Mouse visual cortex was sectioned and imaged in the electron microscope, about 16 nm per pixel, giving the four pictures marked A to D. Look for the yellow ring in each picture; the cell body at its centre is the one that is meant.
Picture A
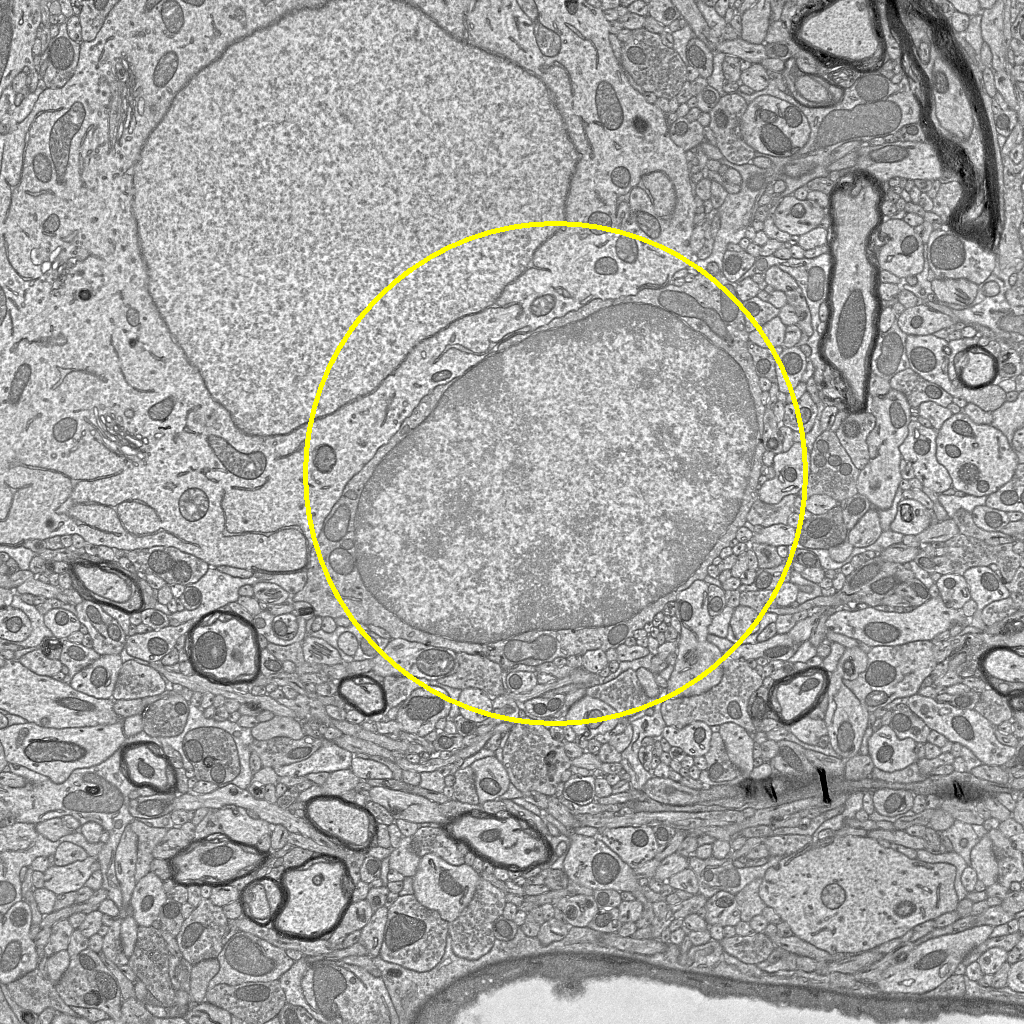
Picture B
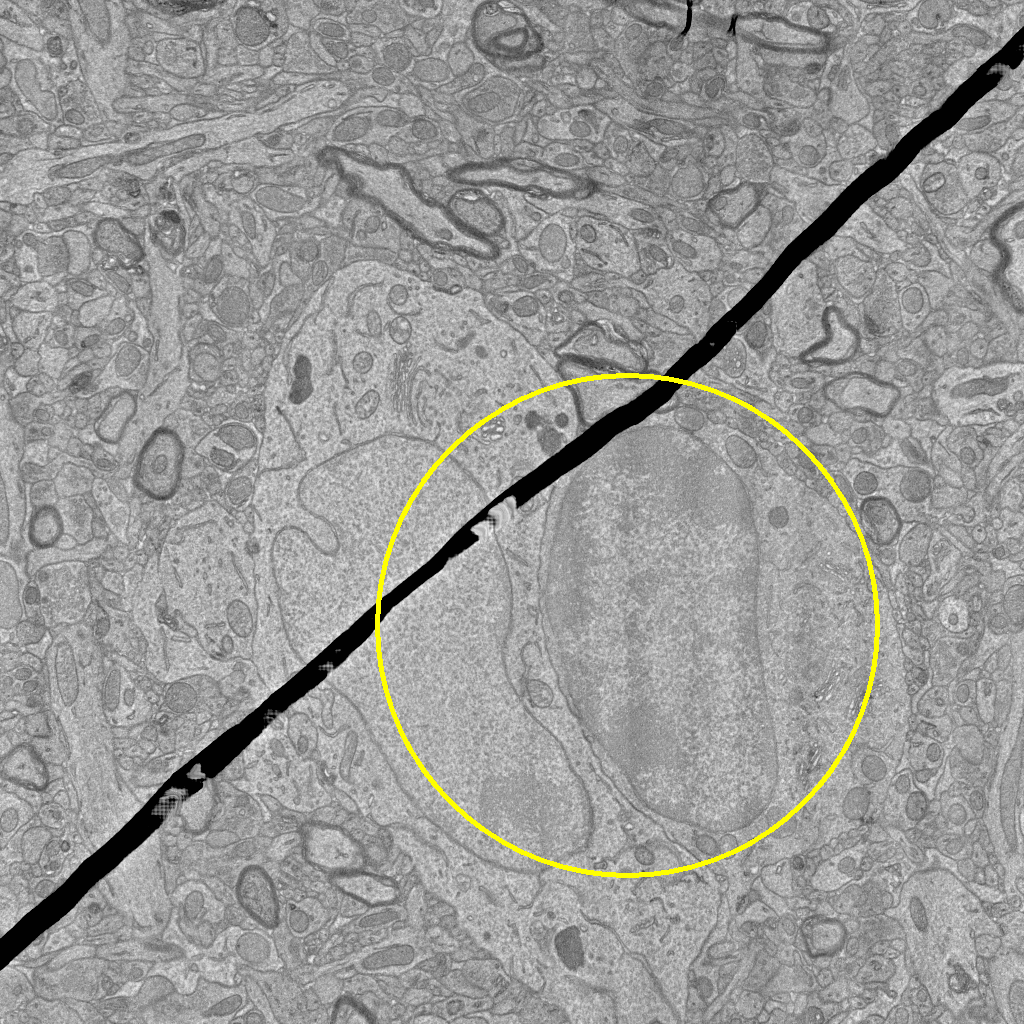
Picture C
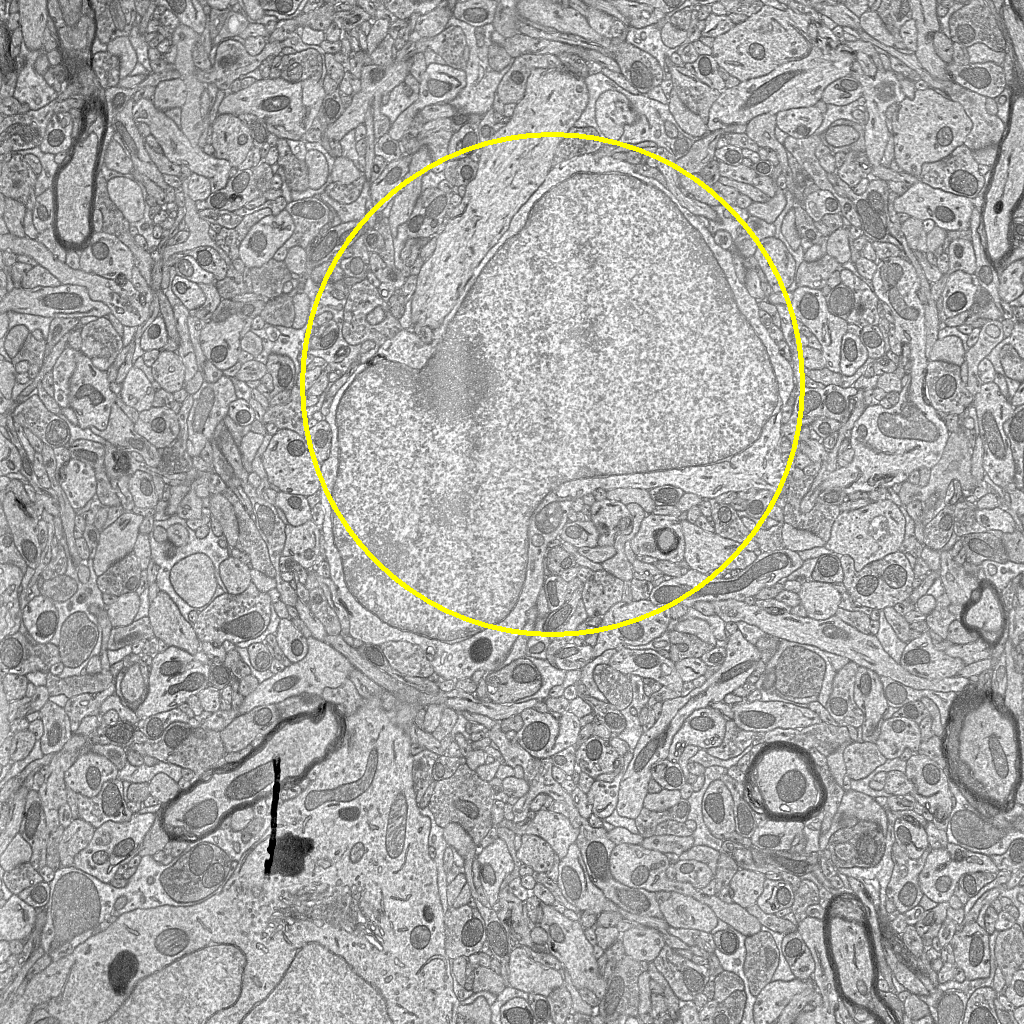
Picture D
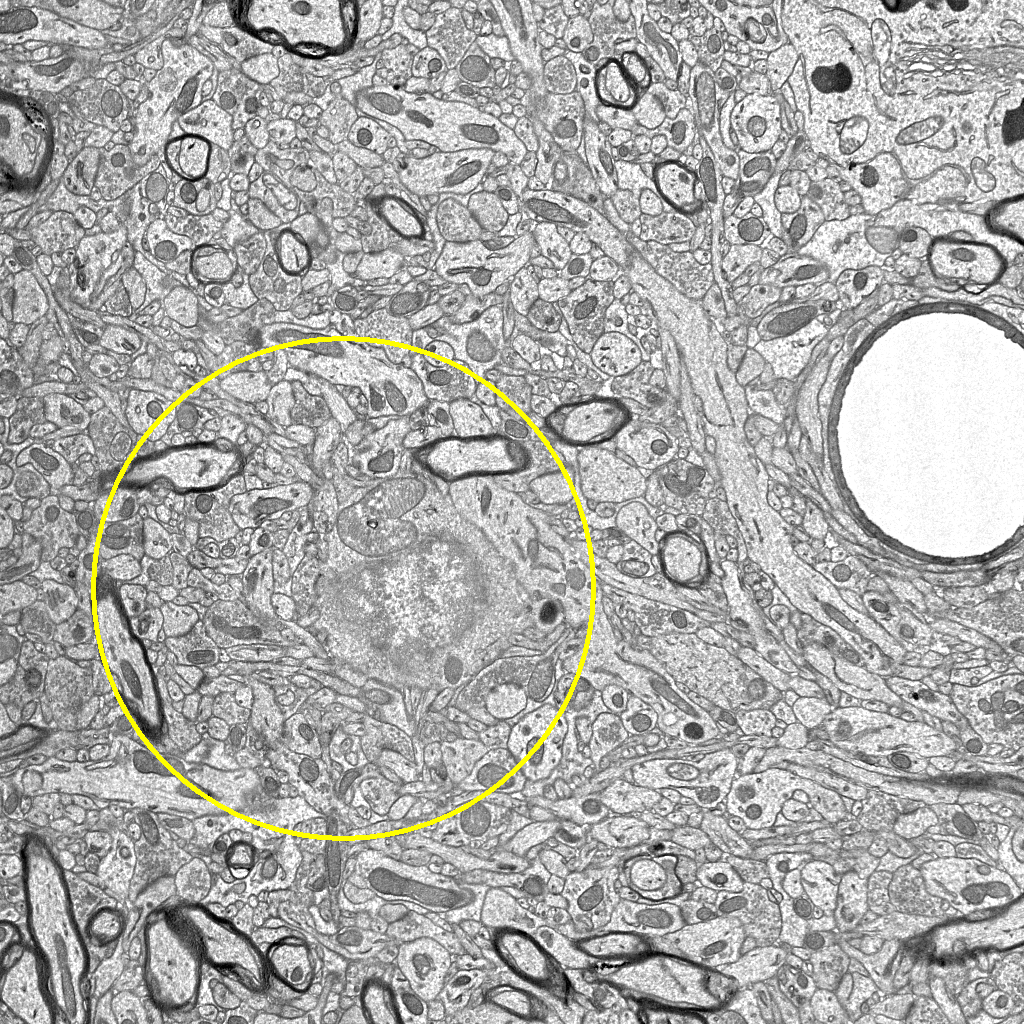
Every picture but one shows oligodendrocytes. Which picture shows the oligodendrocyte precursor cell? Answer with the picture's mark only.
C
